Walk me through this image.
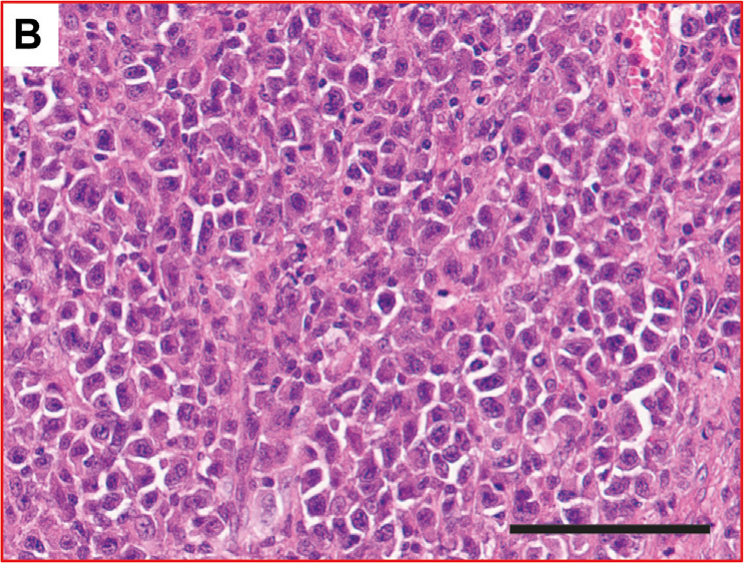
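Sheets of closely packed tumor cells fill the field, with little stroma between them. The cells are polygonal to rounded, with moderate pink cytoplasm and sharp borders, often set apart by thin clear spaces. Their nuclei are large, purple and of unequal size and shape, many with visible nucleoli. No distinct intercellular bridges are seen between neighbouring cells. A small vessel with red blood cells appears at the upper right edge.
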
